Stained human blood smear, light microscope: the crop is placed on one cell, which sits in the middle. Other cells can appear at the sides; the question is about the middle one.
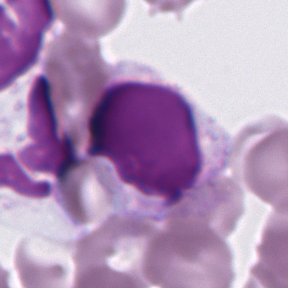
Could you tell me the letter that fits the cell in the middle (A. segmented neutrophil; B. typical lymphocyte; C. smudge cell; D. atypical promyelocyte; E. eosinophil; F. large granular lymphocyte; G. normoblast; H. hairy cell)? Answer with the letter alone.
B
